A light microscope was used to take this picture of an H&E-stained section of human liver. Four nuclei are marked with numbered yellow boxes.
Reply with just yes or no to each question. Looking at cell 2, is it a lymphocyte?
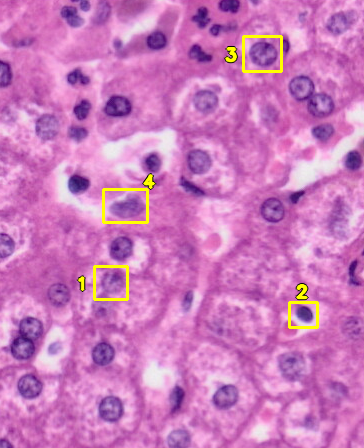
yes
